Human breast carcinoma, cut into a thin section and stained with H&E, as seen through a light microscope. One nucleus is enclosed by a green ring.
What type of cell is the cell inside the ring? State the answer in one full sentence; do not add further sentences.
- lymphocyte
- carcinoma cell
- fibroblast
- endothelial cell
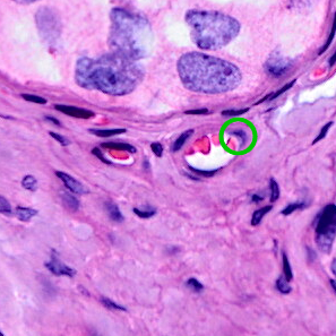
Labelled by cell type, the cell inside the ring is an endothelial cell.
